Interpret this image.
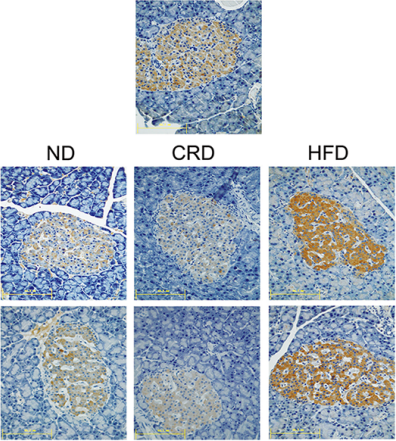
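These are sections of pancreas, each centred on a single endocrine islet lying among exocrine acinar tissue. The islets are rounded, well bounded clusters of small, pale, closely packed cells with small blue nuclei. They stand out against the surrounding acini, whose larger cells have more strongly blue-stained cytoplasm. Brown stain fills the cytoplasm of cells throughout the islet interior. Its intensity differs between the micrographs, from faint tan in some islets to dense orange-brown in others.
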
